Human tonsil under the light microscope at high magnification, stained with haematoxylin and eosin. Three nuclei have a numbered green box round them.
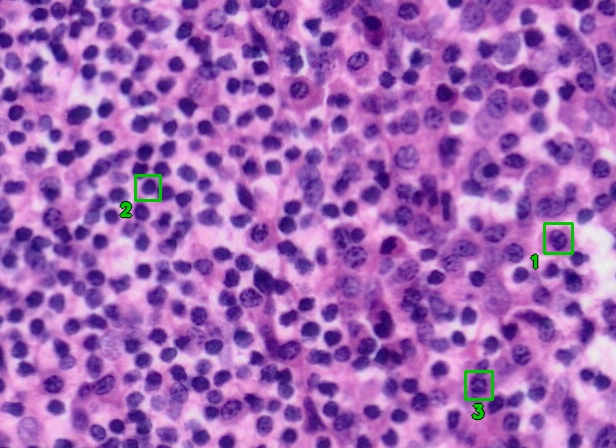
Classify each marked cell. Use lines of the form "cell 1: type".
cell 1: plasma cell
cell 2: small lymphocyte
cell 3: plasma cell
